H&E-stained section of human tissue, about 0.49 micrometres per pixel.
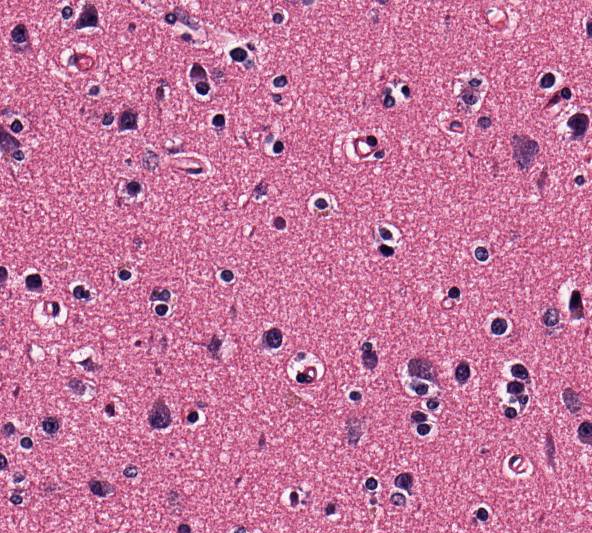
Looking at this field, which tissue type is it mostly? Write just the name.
cerebral cortex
